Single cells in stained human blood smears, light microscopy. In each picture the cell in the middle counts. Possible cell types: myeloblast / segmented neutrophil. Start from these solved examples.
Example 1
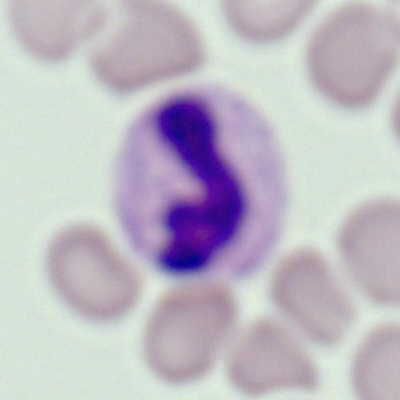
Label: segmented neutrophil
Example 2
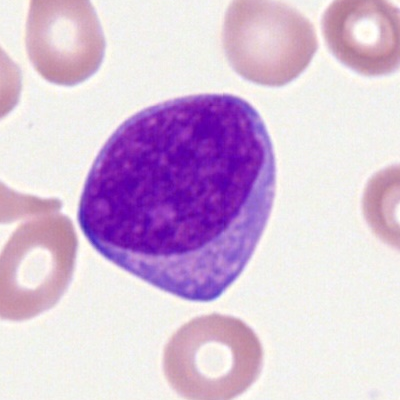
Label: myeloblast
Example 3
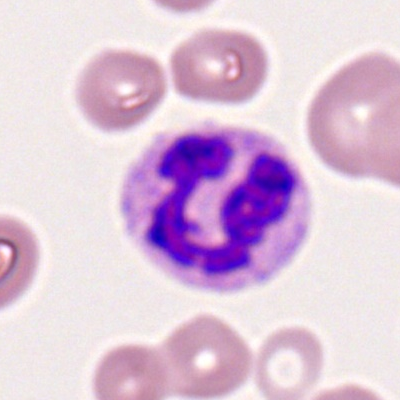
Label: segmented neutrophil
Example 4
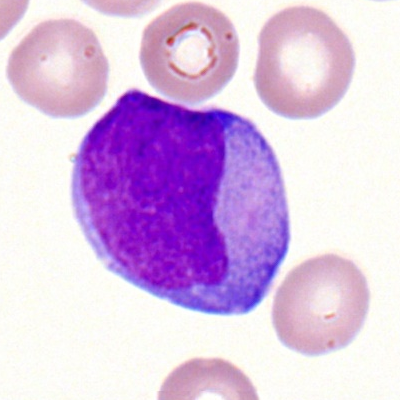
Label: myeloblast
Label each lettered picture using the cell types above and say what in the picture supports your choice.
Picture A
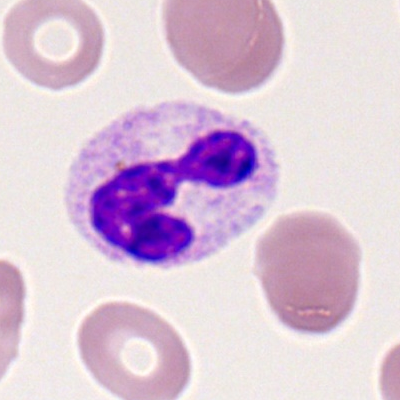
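Answer: segmented neutrophil. The smaller lobe of the nucleus lies toward the upper right of the cell.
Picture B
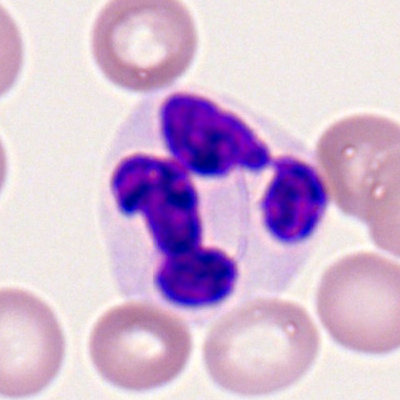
Answer: segmented neutrophil. The cytoplasm is plentiful and pale pinkish-lilac.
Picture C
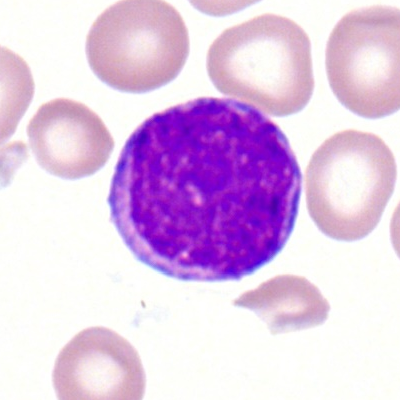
Answer: myeloblast. The cytoplasm is only a thin pale bluish rim around the nucleus.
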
